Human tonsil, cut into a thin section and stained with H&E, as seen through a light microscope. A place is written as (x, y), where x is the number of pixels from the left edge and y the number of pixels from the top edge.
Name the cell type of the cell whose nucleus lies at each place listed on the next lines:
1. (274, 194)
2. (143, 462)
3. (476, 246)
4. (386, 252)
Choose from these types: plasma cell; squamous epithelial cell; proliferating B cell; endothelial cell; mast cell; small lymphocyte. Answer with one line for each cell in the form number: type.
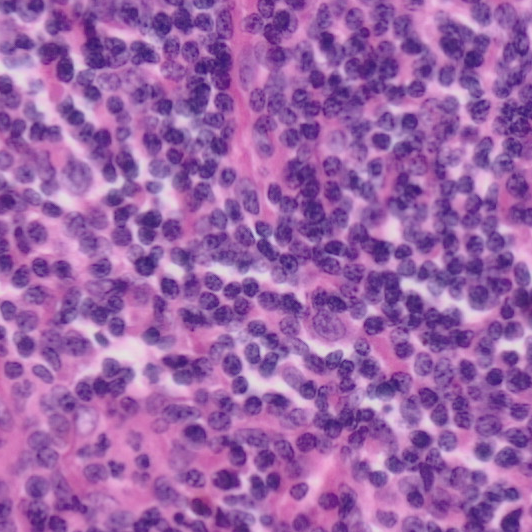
1: small lymphocyte
2: endothelial cell
3: small lymphocyte
4: small lymphocyte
